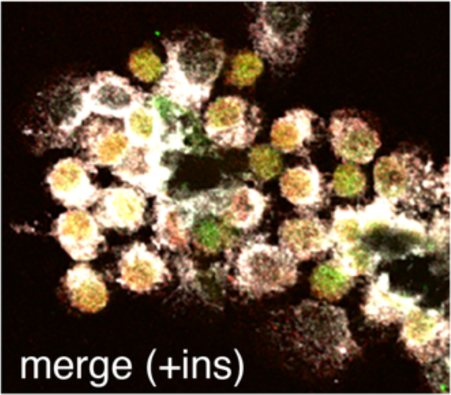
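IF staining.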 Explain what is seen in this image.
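The nuclei glow yellow to orange where the green and red stains overlap inside them. The cells press against one another in a loose clump. A few cells or gaps between them lack the white rim and show only faint green or dark space.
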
